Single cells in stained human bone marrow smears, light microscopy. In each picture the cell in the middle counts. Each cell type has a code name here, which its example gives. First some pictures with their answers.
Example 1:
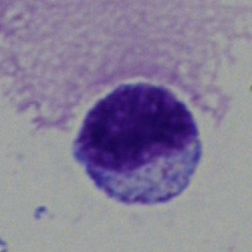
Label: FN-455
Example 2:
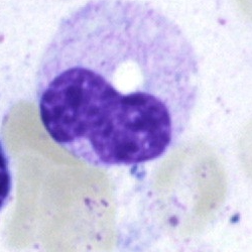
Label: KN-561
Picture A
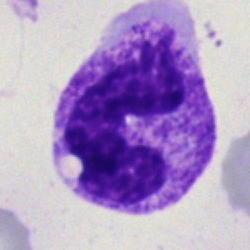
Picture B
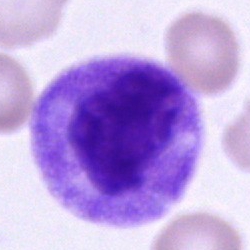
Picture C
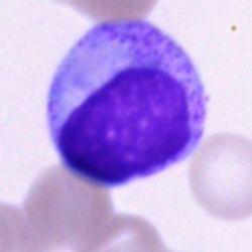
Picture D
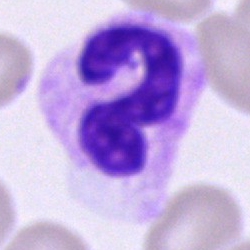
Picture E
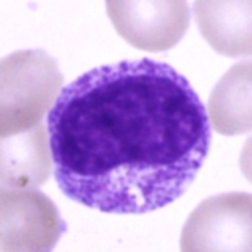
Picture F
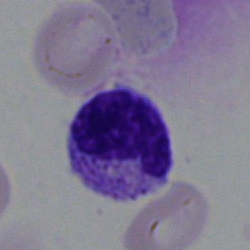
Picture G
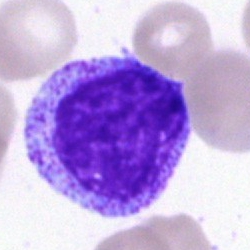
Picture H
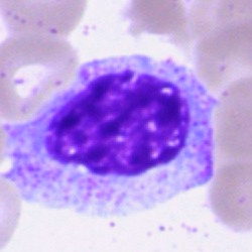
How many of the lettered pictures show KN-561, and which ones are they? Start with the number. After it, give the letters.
3, namely A, D, F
